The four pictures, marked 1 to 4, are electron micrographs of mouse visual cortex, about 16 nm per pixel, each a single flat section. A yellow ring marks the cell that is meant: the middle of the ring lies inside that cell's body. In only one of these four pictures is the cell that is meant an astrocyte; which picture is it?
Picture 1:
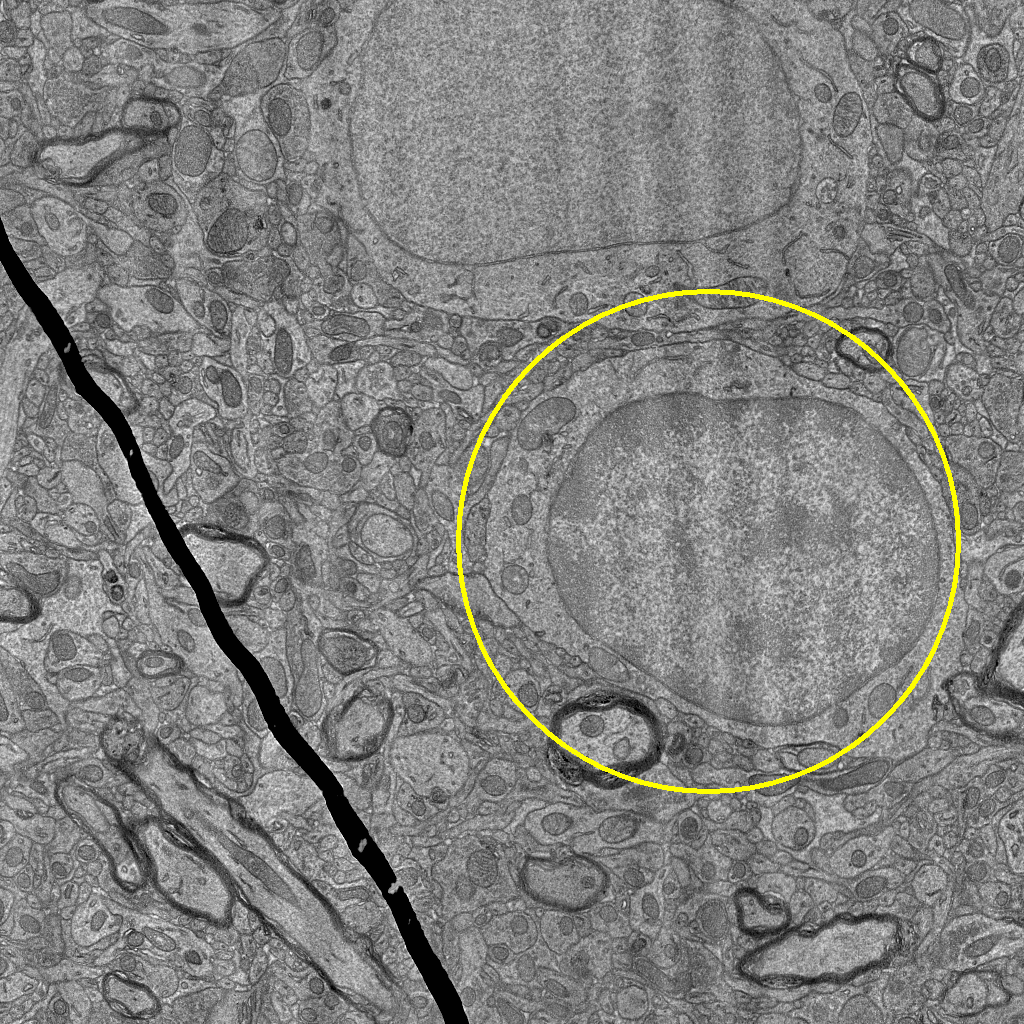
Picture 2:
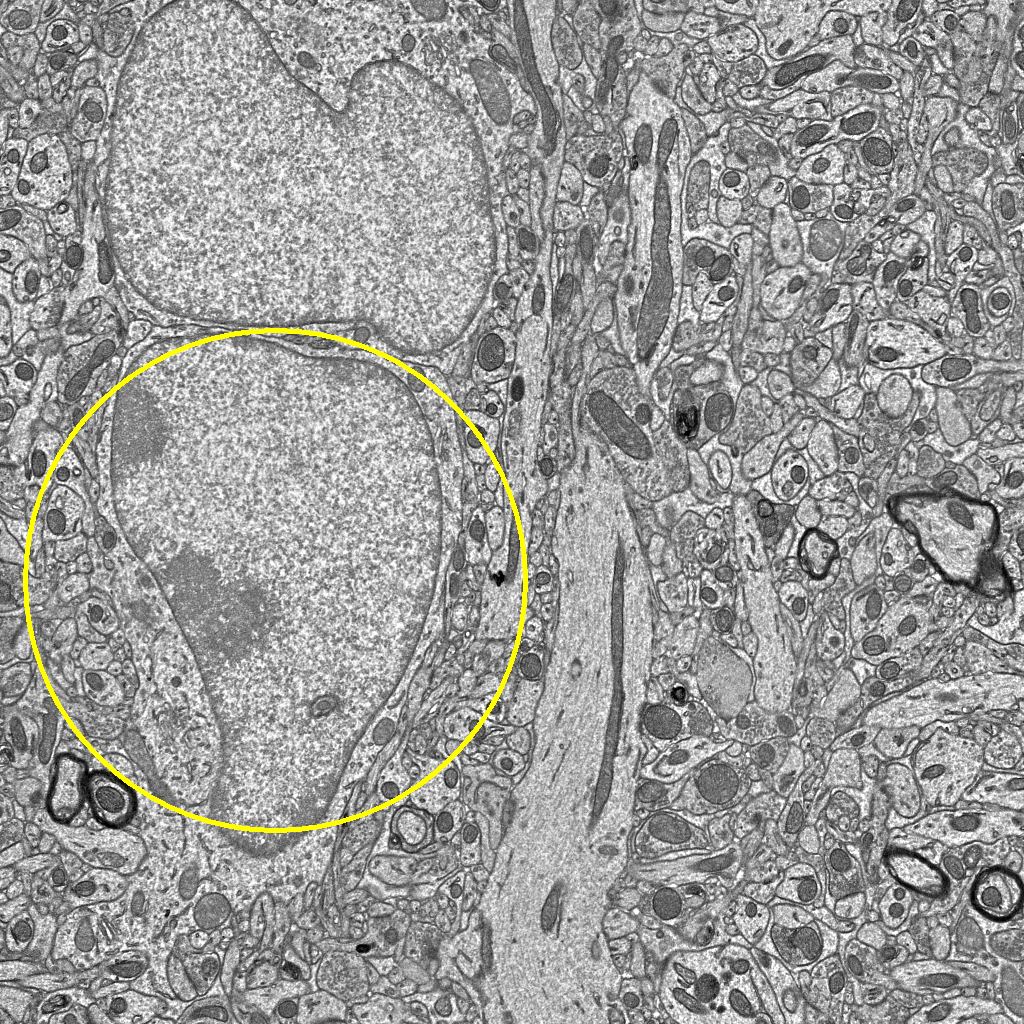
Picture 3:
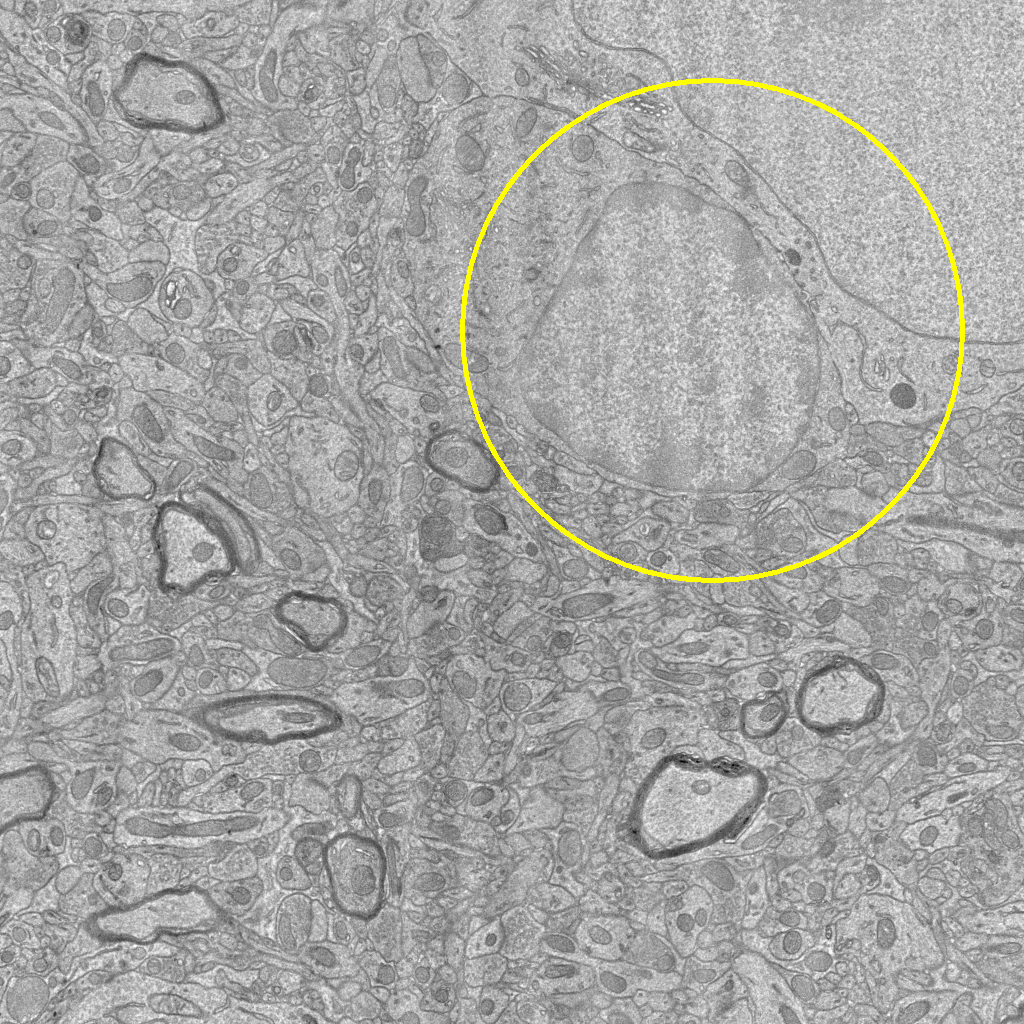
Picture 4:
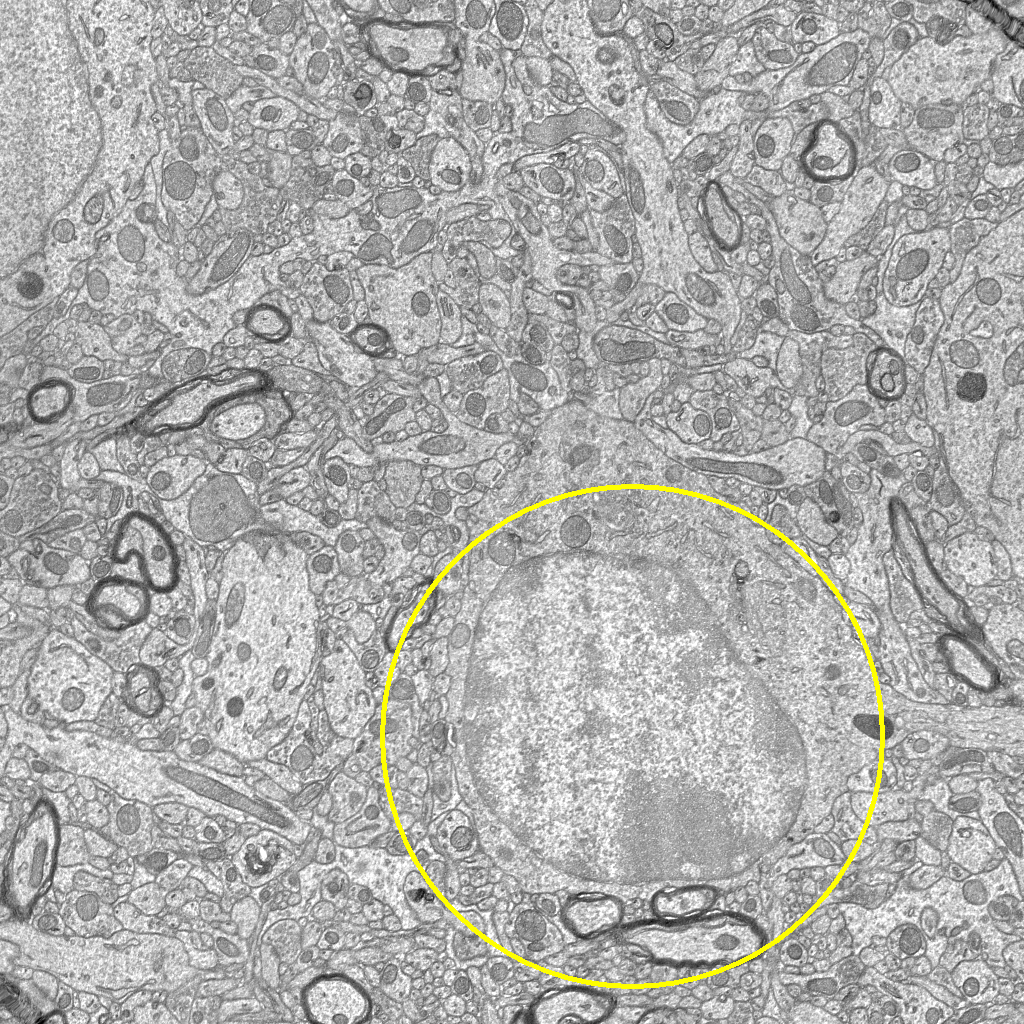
Picture 2 is the one that shows the astrocyte.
